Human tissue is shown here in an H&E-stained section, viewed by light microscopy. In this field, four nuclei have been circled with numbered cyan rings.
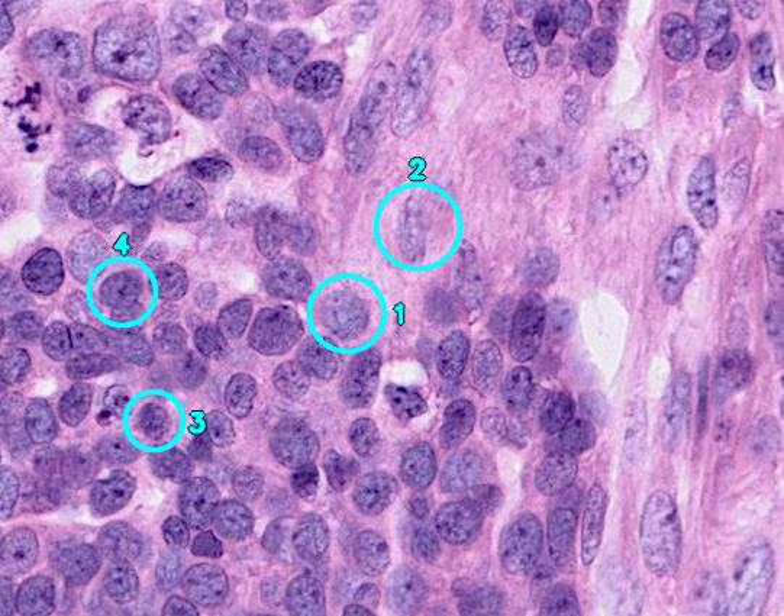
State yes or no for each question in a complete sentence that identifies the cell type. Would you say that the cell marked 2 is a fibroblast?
Yes, it checks out; the cell labelled 2 is a fibroblast.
